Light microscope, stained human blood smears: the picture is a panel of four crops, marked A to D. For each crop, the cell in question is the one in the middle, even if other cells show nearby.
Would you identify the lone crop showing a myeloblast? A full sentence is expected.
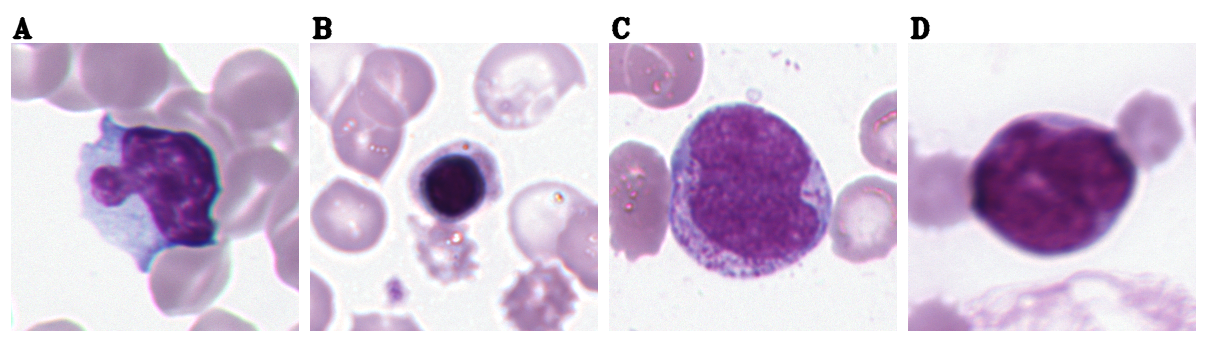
Within this set, crop D is the one with a myeloblast at its center.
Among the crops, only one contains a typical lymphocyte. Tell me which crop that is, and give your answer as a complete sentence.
Crop A is the one that shows a typical lymphocyte.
